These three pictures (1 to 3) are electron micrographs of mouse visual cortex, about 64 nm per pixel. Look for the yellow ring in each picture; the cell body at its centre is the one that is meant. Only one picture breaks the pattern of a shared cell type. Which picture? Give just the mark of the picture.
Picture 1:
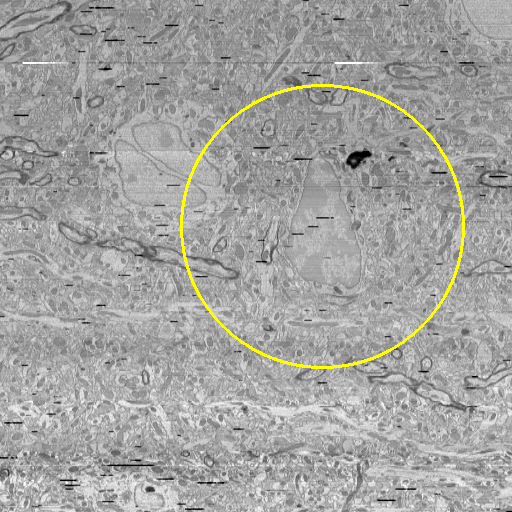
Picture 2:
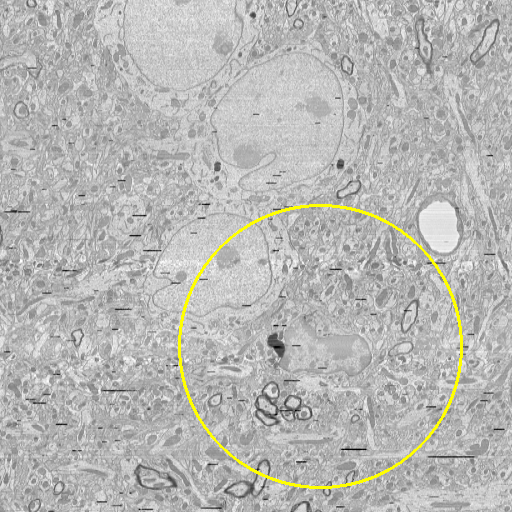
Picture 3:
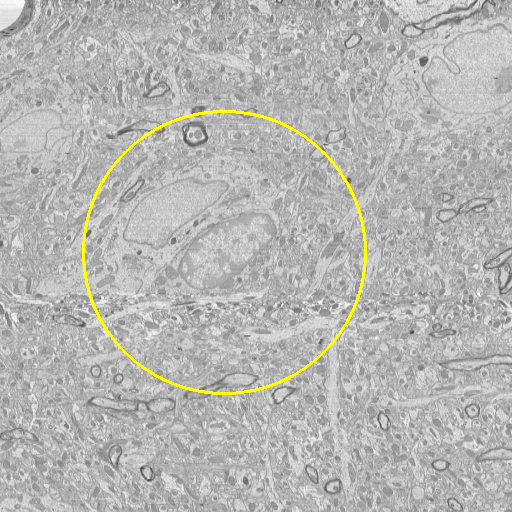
3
